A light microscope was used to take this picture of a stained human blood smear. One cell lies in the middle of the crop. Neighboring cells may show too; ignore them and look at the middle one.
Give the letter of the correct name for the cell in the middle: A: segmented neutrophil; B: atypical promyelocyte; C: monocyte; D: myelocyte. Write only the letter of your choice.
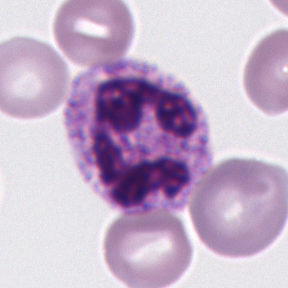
A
